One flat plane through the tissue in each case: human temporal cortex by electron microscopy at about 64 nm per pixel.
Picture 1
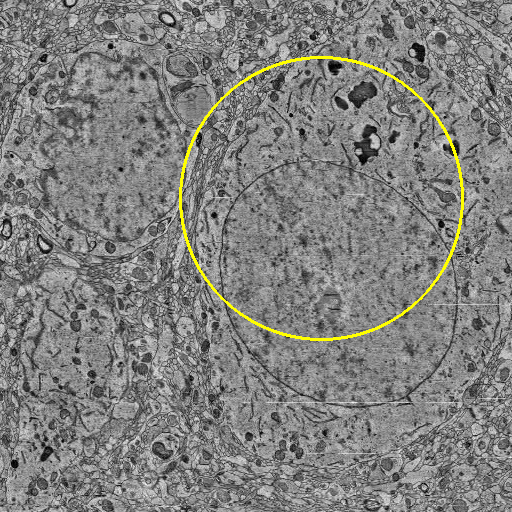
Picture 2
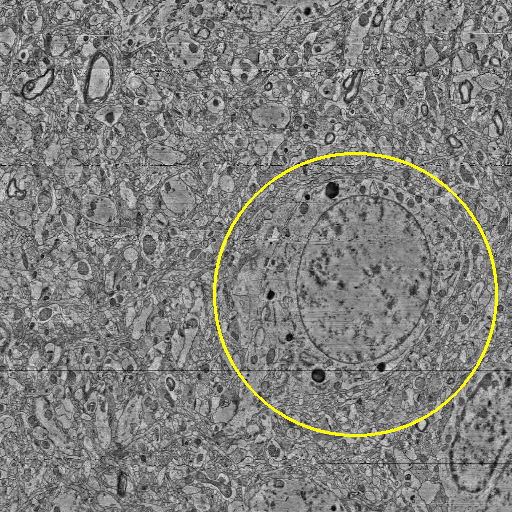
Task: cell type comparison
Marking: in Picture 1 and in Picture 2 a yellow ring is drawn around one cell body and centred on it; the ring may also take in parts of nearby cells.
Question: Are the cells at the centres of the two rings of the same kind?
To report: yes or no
yes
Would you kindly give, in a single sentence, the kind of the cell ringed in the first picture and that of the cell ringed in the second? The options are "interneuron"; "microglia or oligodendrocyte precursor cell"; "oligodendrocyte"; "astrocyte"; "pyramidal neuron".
Each of the two cells is a pyramidal neuron.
